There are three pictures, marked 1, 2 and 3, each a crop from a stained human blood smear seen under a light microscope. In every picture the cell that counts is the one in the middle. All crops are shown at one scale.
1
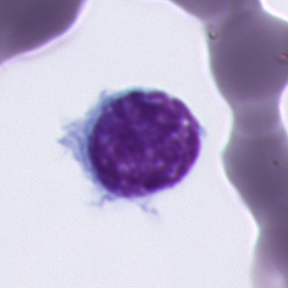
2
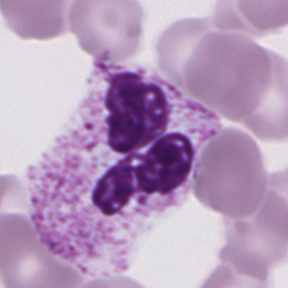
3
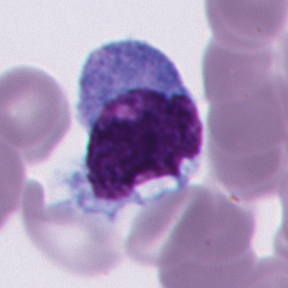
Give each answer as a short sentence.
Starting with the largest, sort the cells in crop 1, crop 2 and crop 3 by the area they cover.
Largest first: 2, 3, 1.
